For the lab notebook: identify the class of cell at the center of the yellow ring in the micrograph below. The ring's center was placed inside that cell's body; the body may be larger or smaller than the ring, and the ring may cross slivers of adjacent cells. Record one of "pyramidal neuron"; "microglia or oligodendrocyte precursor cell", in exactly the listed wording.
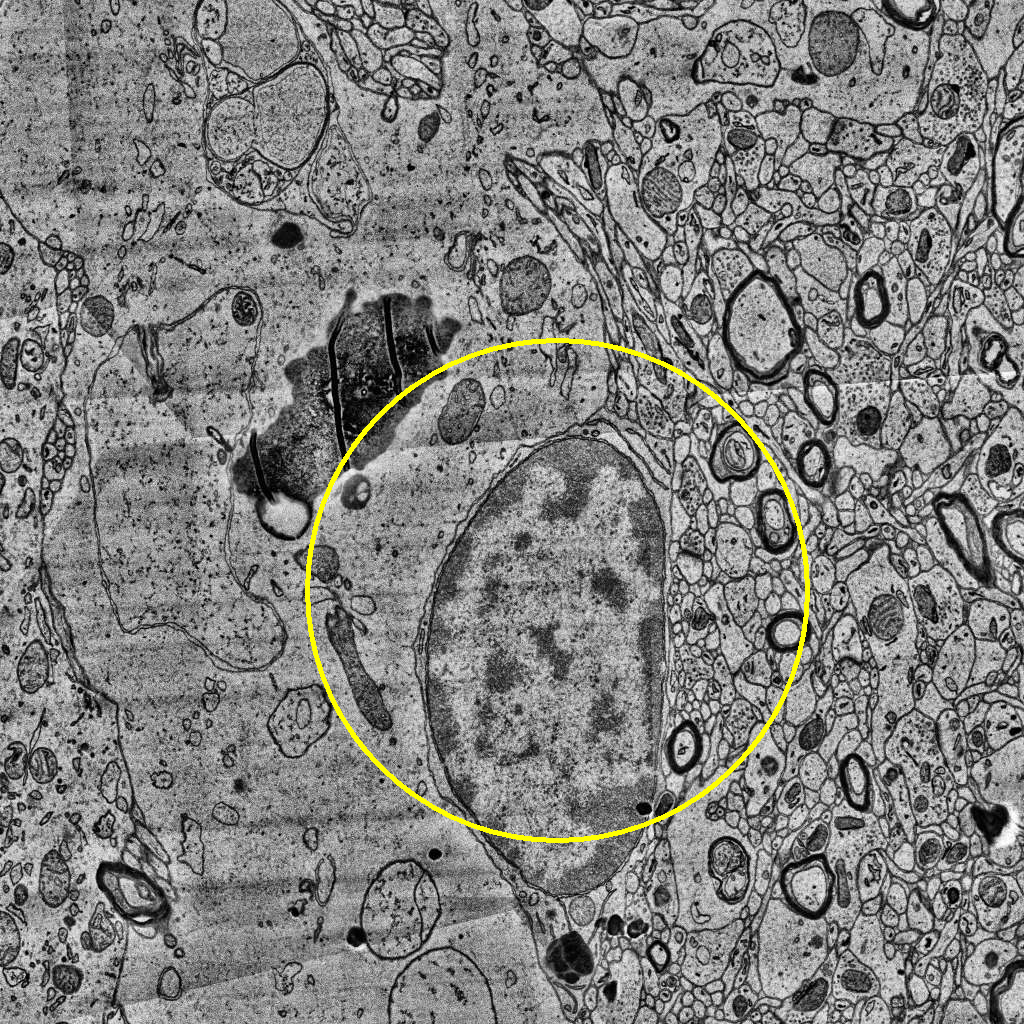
microglia or oligodendrocyte precursor cell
